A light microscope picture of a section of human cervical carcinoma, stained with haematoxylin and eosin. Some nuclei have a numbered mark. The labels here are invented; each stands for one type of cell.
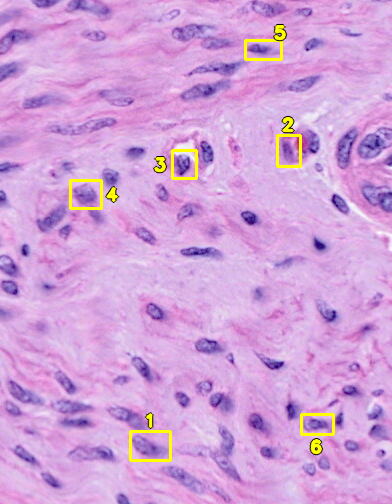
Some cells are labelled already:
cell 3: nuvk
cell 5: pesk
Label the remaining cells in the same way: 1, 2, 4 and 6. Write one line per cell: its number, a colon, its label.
1: pesk
2: nuvk
4: pesk
6: pesk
